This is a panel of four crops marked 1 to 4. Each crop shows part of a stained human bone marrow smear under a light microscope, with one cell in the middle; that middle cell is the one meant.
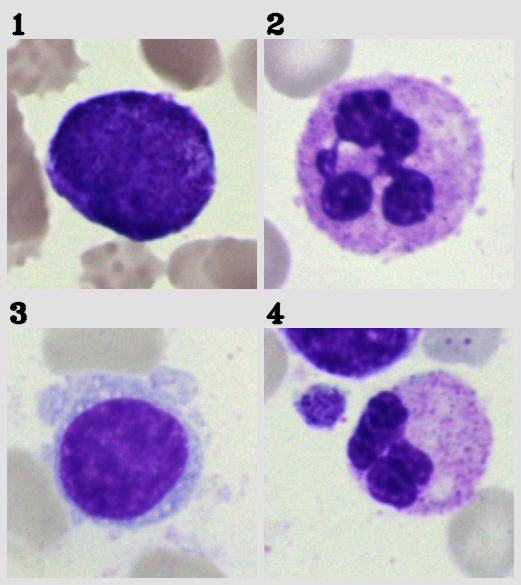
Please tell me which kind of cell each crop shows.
1: promyelocyte
2: segmented neutrophil
3: hairy cell
4: segmented neutrophil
